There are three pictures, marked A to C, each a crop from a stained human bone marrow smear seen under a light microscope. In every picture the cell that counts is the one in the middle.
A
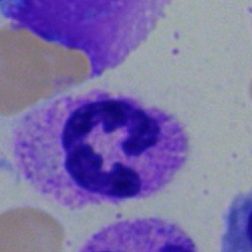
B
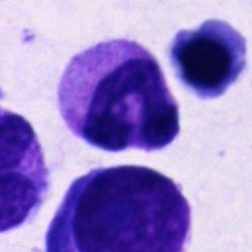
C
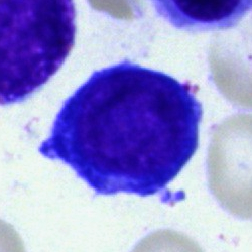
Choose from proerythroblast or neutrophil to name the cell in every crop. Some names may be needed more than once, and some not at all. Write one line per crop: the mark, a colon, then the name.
A: neutrophil
B: neutrophil
C: proerythroblast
